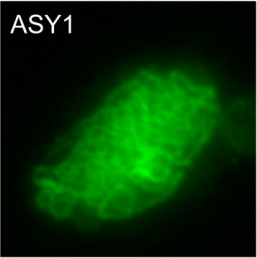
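A single meiotic nucleus of a pollen mother cell is seen, in which green fluorescence traces long, thin, thread-like strands. The threads wind and loop across the whole oval nucleus, with brighter loops visible near its edges.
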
